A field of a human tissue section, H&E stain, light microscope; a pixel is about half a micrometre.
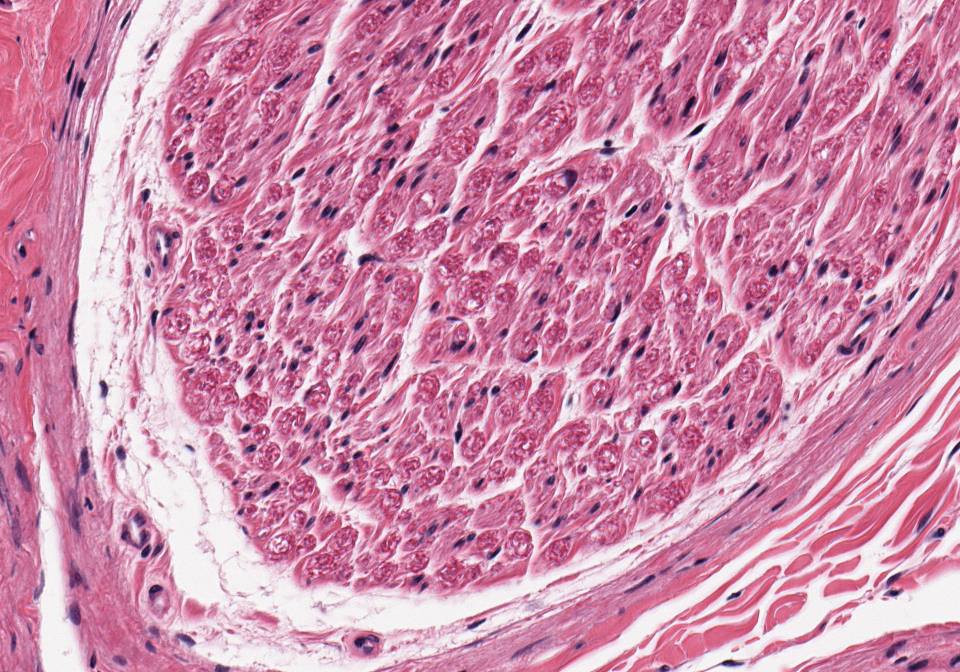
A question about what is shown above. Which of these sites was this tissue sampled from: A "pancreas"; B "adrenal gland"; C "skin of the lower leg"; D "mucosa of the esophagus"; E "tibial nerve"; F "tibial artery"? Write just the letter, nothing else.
E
